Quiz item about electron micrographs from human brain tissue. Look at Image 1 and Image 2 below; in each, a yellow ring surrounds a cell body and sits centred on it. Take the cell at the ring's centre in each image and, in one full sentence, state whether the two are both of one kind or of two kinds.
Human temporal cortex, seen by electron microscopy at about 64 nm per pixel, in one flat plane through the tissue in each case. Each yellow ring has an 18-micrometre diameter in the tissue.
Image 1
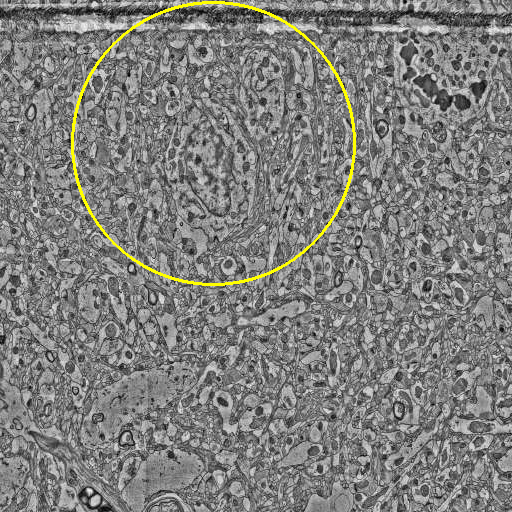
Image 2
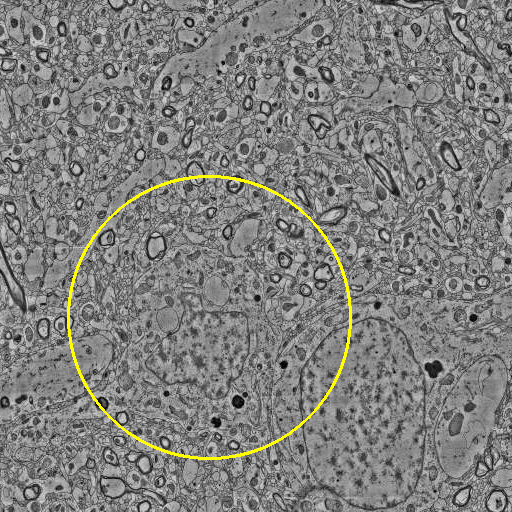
In Image 1 and Image 2, the cells at the ring centres are both of one kind.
